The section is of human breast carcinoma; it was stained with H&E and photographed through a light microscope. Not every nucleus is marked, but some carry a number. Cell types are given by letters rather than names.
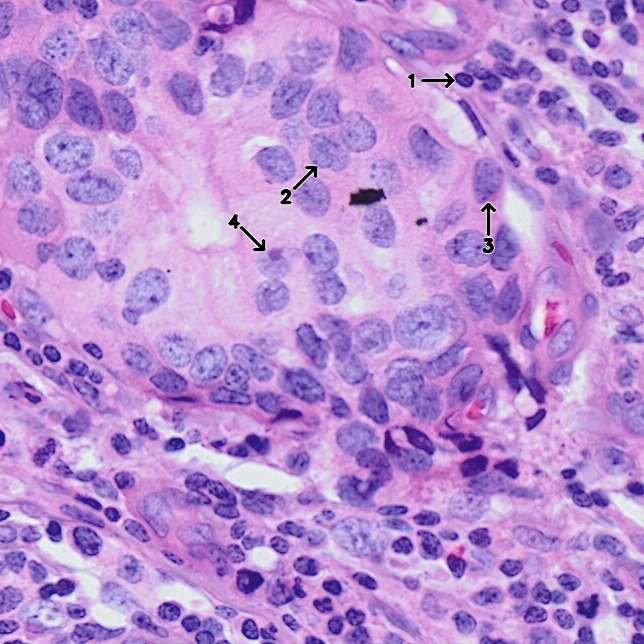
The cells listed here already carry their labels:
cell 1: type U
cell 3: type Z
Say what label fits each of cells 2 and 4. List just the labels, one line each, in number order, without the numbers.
type Z
type Z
